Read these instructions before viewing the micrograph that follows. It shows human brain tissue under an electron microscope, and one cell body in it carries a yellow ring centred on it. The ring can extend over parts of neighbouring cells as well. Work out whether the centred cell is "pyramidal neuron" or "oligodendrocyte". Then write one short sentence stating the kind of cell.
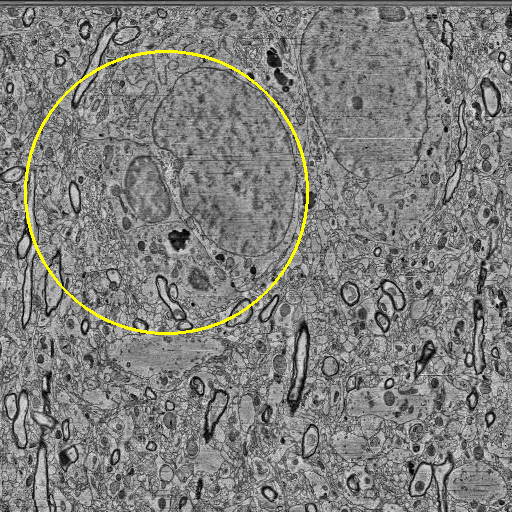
The ringed cell is an oligodendrocyte.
